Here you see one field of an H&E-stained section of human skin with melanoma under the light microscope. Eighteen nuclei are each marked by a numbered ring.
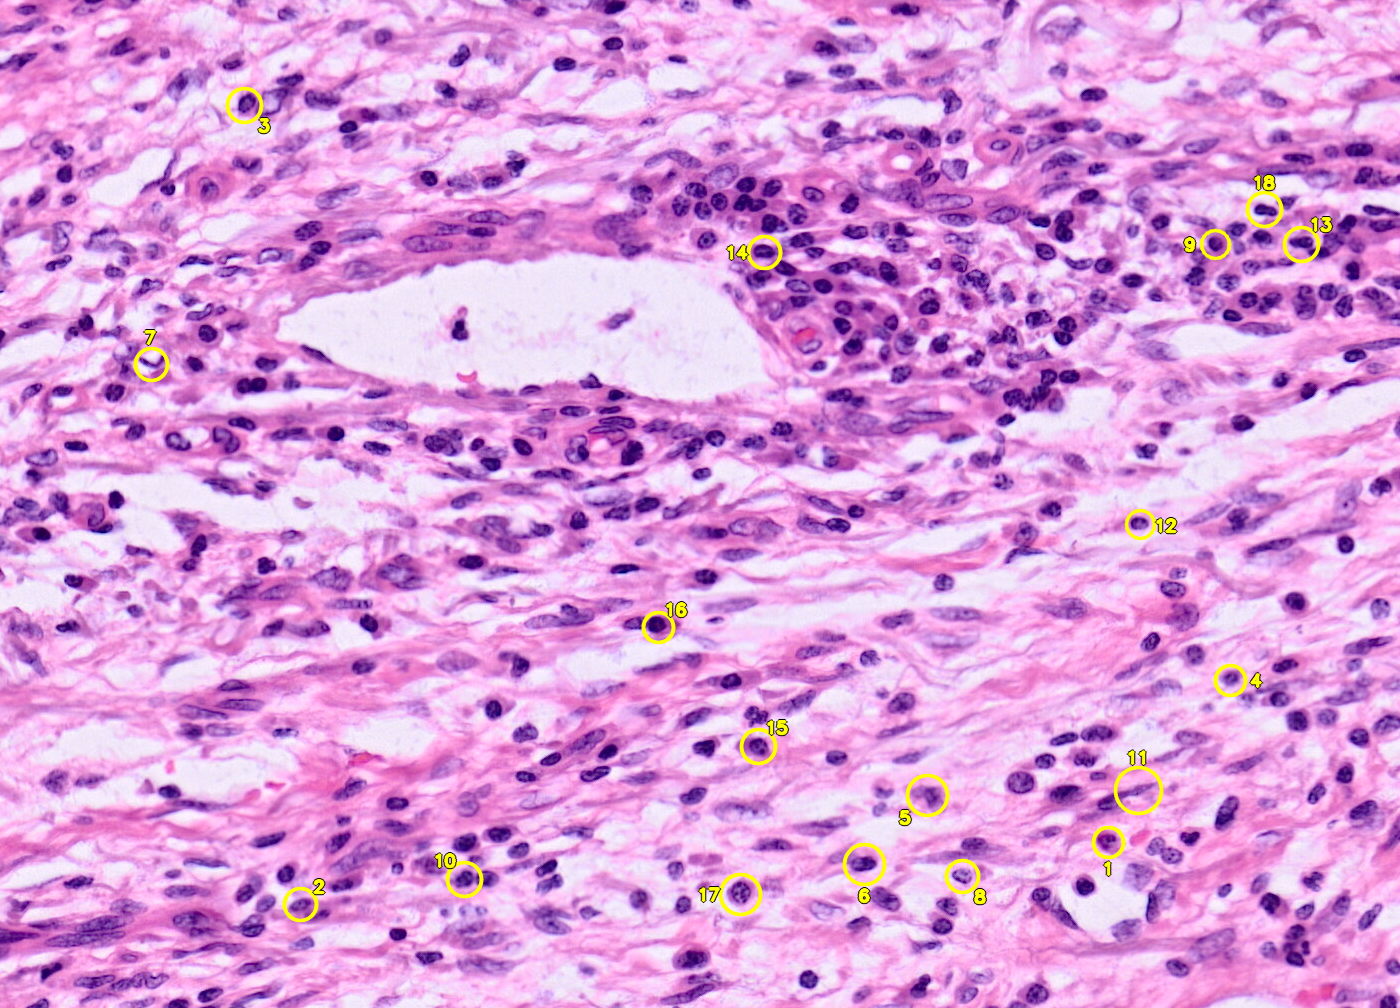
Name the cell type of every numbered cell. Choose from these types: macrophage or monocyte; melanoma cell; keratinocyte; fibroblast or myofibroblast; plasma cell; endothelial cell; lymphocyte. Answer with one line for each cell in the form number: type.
1: plasma cell
2: plasma cell
3: plasma cell
4: plasma cell
5: macrophage or monocyte
6: lymphocyte
7: fibroblast or myofibroblast
8: lymphocyte
9: plasma cell
10: lymphocyte
11: fibroblast or myofibroblast
12: plasma cell
13: lymphocyte
14: plasma cell
15: plasma cell
16: plasma cell
17: plasma cell
18: lymphocyte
